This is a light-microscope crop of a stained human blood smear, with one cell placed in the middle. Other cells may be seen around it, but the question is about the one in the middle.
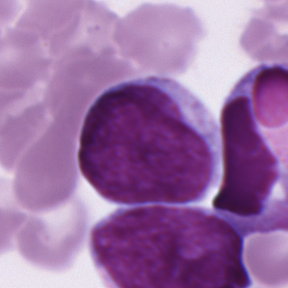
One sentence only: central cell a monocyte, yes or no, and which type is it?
No, rather than a monocyte, the central cell is a myeloblast.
